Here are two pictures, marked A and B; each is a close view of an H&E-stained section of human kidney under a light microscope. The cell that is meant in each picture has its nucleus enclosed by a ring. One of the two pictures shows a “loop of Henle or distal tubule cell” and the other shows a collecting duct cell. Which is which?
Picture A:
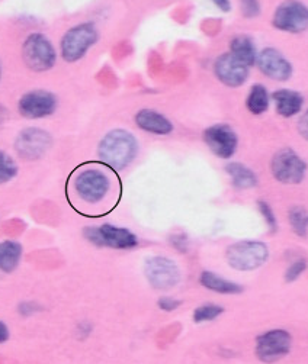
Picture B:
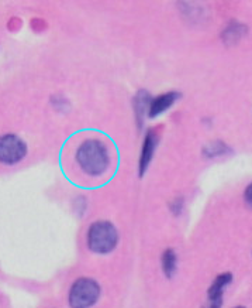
A: collecting duct cell
B: loop of Henle or distal tubule cell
